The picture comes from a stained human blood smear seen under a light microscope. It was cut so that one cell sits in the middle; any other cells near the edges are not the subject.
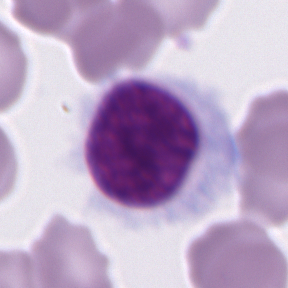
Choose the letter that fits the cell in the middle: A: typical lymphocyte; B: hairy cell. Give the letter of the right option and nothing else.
B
